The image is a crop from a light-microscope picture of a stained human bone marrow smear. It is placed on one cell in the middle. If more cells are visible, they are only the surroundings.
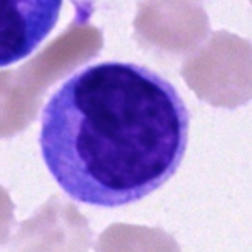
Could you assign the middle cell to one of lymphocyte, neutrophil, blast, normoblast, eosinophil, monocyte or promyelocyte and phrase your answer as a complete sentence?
Present in the middle of the crop is a monocyte.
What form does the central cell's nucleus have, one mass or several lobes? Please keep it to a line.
The nuclear material is gathered into one compact round, oval or kidney-shaped mass.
